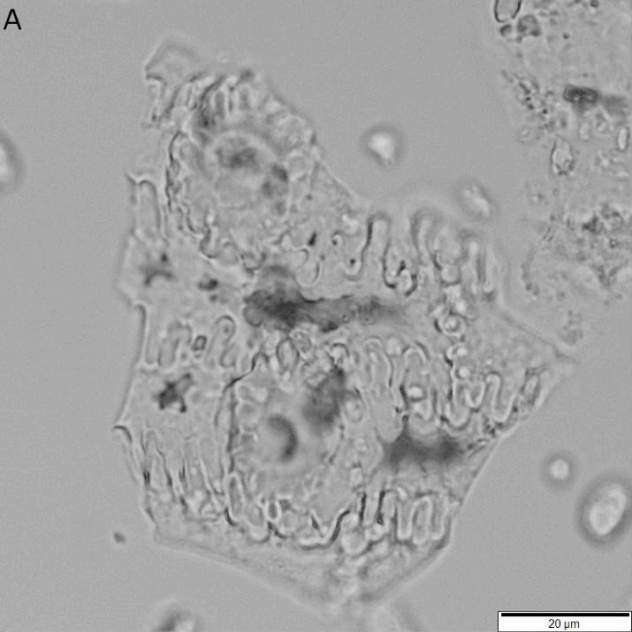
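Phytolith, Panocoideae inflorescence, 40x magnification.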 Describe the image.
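A flat, glassy, colourless sheet is seen in which the outlines of several plant epidermal cells lie joined side by side. The walls between them run as tightly wavy, interlocking lines, giving a jigsaw pattern across the middle of the sheet, while the outer margin is more angular. A few darker smudges and debris lie on the surface, and rounded outlines of cells can be made out in the upper and lower parts. Because the cells stay articulated in their original arrangement, this is a silicified skeleton of epidermal tissue rather than a single isolated silica body.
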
